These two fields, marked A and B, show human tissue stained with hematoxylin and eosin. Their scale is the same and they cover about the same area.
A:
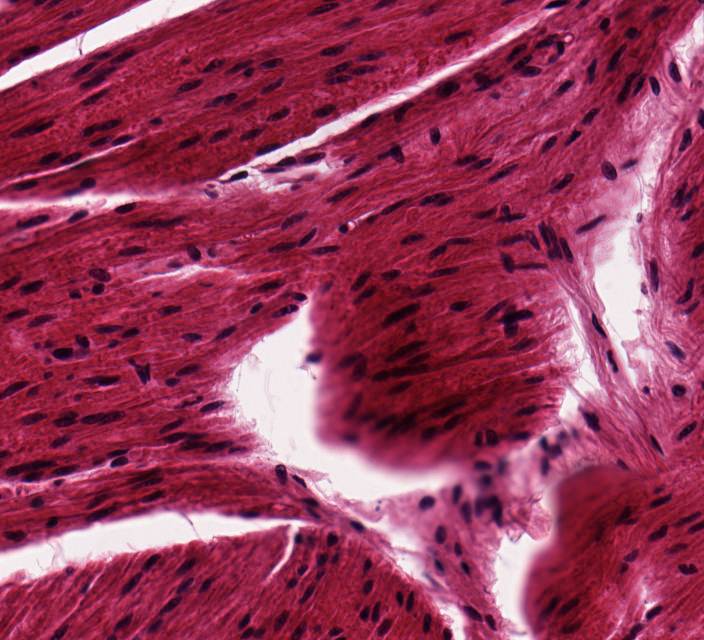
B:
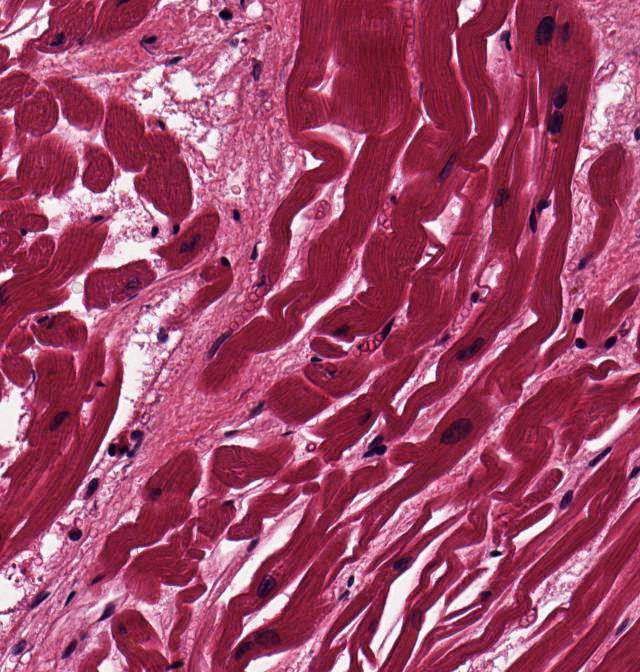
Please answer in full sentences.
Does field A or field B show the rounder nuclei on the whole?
On the whole the nuclei of field B are rounder than those of field A.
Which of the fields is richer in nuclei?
The larger number of nuclei is in field A.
